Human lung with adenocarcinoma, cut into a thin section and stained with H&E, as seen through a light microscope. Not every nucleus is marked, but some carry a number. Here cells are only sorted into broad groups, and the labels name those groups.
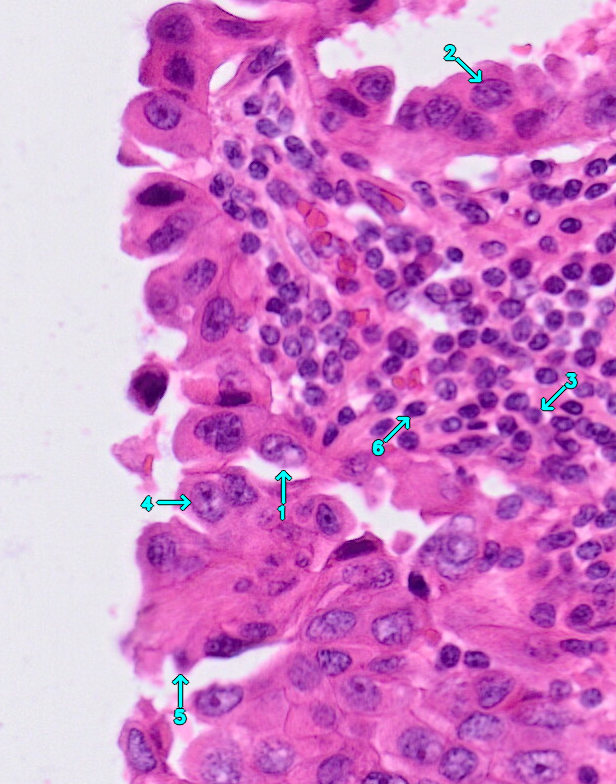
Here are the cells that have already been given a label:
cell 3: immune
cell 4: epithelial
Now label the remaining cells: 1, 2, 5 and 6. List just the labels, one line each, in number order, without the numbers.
epithelial
epithelial
epithelial
immune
